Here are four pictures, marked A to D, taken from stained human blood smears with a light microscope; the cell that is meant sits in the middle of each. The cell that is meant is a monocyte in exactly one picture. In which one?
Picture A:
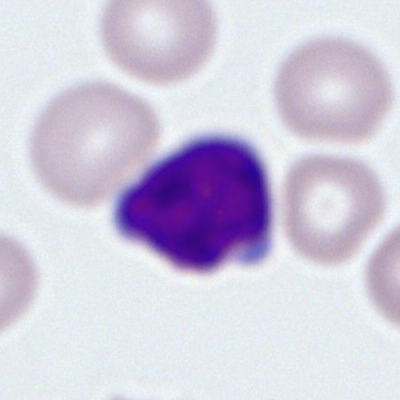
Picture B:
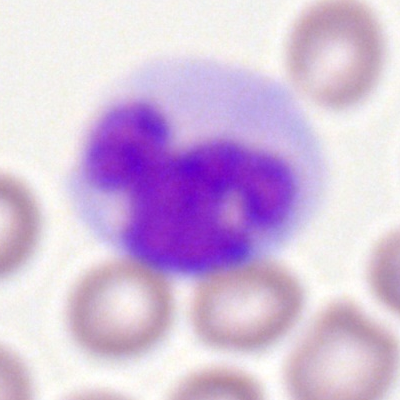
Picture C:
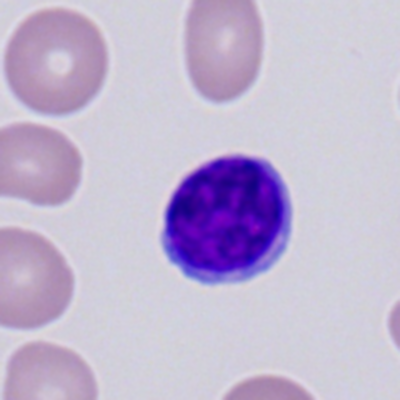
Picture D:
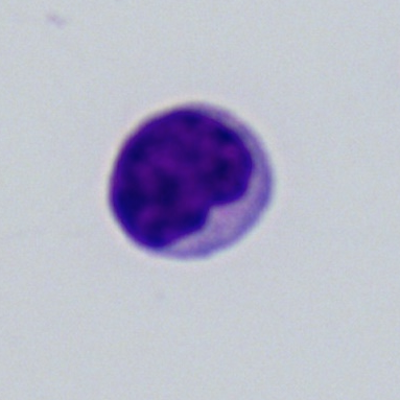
B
